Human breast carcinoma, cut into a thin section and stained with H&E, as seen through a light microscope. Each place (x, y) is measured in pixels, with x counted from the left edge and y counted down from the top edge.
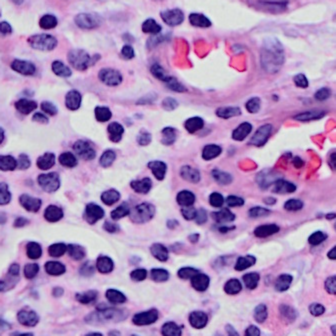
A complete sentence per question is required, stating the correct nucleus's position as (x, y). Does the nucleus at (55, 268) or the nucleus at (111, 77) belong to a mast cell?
At (111, 77) lies the nucleus that belongs to a mast cell.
